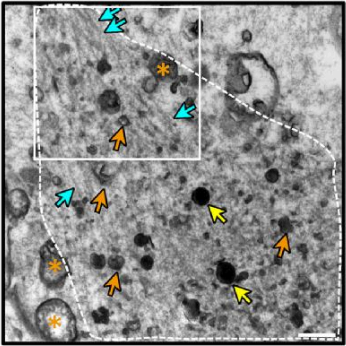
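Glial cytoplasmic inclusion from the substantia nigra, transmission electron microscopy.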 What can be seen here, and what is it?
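The filaments are long, thin and unbranched, and they run largely in parallel. Among them lie many small membrane-bound vesicles and several very dark, round bodies. Oval mitochondria with inner folds sit near the edge of the filament-filled area.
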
